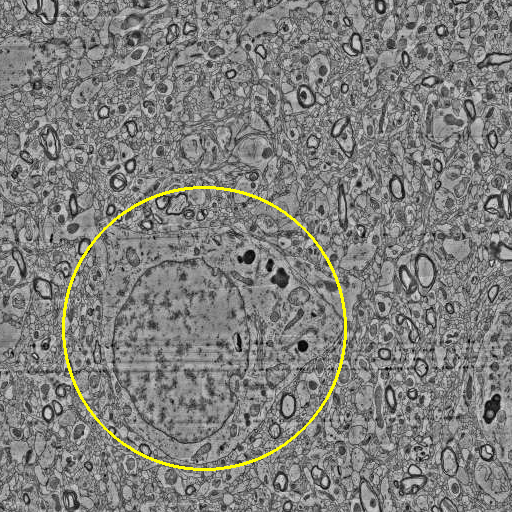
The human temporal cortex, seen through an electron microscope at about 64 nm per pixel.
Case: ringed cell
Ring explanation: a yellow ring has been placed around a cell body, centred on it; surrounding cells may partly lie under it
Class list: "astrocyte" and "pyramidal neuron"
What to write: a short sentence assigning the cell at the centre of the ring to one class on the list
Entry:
The cell at the ring's centre is a pyramidal neuron.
